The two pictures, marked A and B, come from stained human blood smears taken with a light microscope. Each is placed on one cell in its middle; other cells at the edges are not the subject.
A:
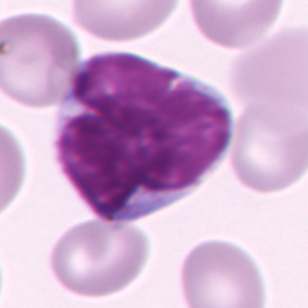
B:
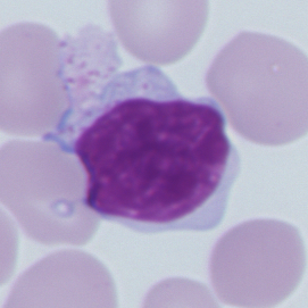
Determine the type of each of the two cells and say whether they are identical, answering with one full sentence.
Yes, both crops here show large granular lymphocytes, the pair of them.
